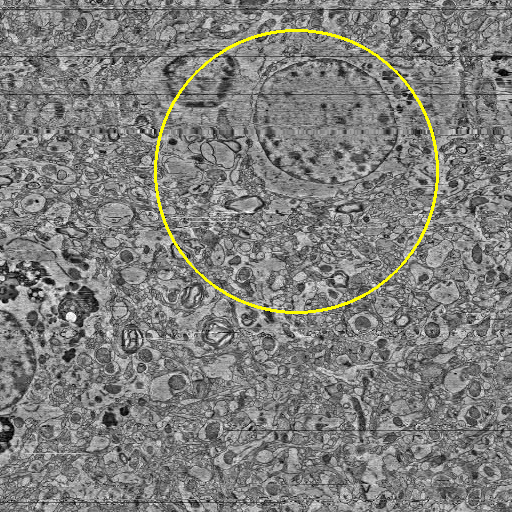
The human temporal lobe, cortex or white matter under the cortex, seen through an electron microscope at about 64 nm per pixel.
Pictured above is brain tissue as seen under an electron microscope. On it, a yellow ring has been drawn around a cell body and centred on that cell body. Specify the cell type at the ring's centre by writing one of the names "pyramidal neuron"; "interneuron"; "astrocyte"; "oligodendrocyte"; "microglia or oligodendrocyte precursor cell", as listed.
astrocyte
